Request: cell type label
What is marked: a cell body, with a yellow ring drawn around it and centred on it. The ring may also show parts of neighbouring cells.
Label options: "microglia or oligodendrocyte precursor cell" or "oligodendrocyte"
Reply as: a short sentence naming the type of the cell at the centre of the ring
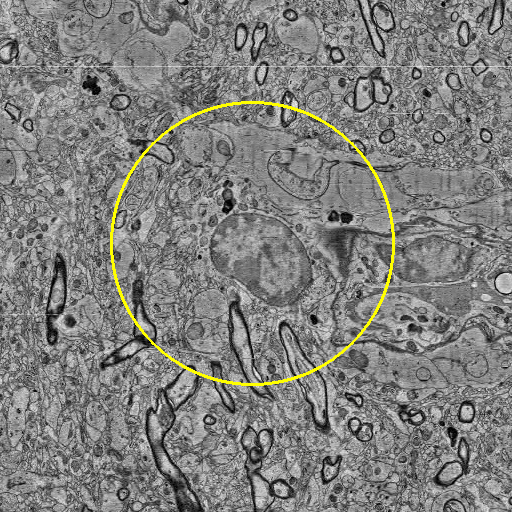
The marked cell body is that of a microglial cell or oligodendrocyte precursor cell.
